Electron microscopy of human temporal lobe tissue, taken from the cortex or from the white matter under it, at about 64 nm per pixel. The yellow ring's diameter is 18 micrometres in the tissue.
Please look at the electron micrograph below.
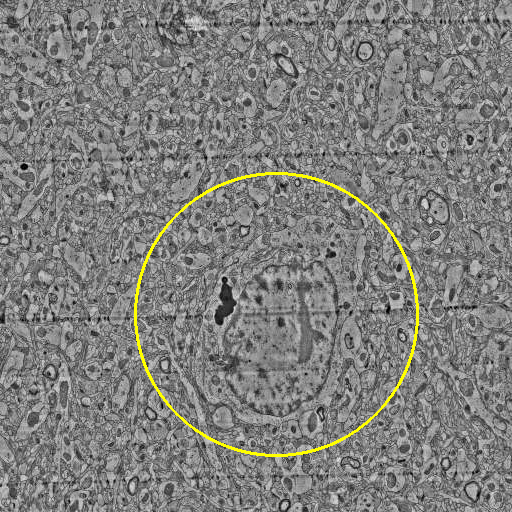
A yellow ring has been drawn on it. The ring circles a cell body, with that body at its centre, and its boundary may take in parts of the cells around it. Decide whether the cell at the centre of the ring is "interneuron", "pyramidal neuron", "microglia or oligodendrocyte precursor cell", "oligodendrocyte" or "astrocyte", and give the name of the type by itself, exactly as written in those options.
interneuron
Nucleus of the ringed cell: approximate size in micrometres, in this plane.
In this plane, approximately 10 by 7 micrometers.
